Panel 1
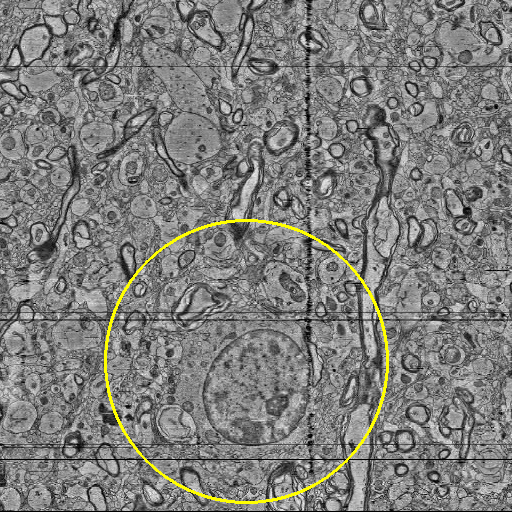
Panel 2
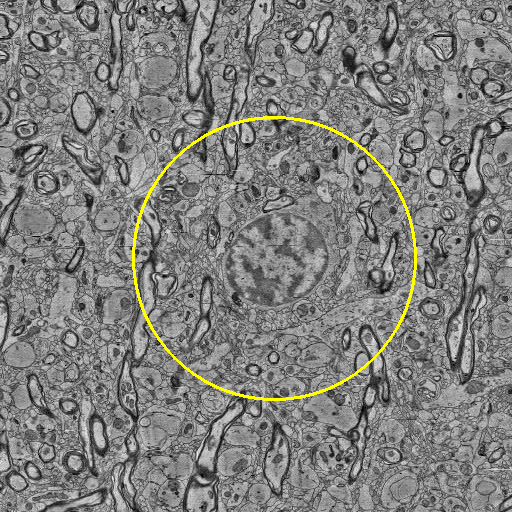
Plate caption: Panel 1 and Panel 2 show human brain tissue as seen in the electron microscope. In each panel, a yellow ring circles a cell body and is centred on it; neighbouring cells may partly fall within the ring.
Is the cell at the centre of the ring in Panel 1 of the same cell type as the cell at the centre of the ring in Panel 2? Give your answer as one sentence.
Yes, the two cells are of the same type.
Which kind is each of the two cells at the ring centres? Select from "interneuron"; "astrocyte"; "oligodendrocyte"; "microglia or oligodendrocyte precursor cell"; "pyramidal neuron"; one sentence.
In each of the two pictures, the ringed cell is an oligodendrocyte.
